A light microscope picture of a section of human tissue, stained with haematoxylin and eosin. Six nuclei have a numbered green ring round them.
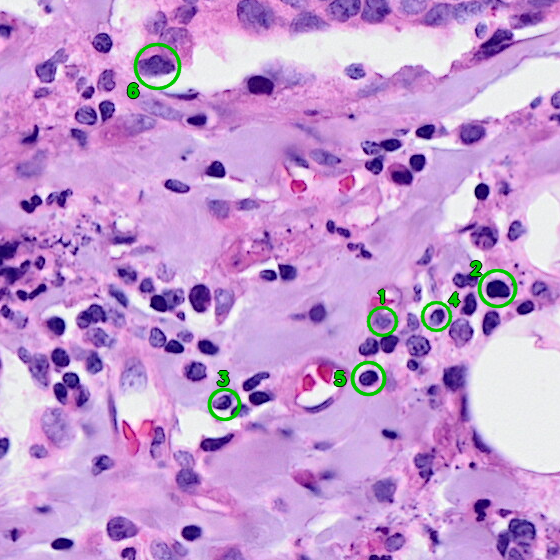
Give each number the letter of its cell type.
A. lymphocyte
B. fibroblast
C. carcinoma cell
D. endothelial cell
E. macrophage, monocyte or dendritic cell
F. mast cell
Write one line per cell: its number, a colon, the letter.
1: D
2: A
3: A
4: A
5: A
6: C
